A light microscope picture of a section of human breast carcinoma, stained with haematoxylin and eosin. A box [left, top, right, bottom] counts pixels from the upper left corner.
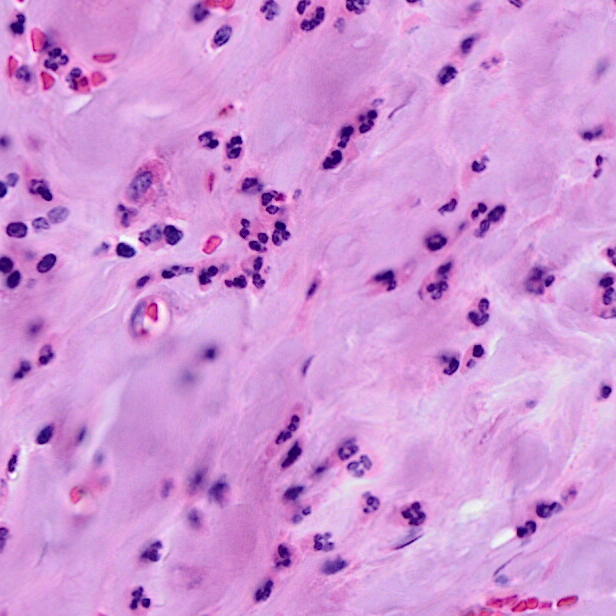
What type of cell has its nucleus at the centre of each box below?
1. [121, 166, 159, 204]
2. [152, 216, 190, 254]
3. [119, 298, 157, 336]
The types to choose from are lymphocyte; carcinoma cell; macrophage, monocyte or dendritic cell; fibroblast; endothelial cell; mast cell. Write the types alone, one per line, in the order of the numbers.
mast cell
lymphocyte
endothelial cell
